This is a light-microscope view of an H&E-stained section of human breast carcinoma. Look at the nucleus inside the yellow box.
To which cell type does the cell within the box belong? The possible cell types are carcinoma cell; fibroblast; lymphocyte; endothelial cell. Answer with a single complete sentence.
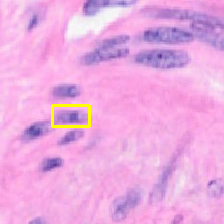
In this field of tissue, the cell within the box is an endothelial cell.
